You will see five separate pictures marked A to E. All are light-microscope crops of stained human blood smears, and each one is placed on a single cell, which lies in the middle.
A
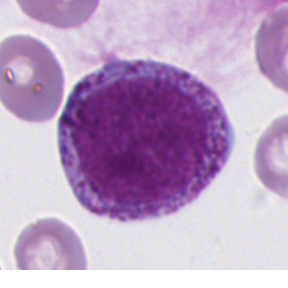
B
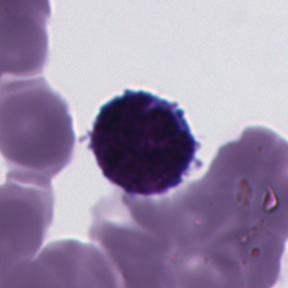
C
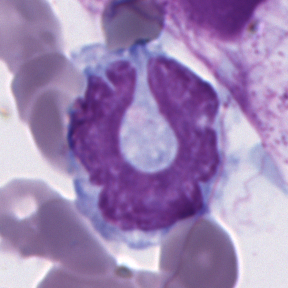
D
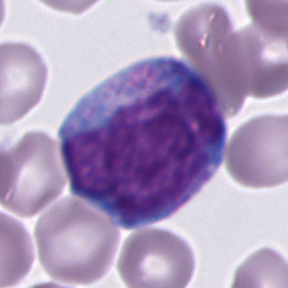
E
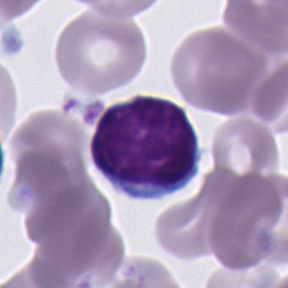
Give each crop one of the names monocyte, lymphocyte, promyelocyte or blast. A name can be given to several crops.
A: promyelocyte
B: blast
C: monocyte
D: promyelocyte
E: lymphocyte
